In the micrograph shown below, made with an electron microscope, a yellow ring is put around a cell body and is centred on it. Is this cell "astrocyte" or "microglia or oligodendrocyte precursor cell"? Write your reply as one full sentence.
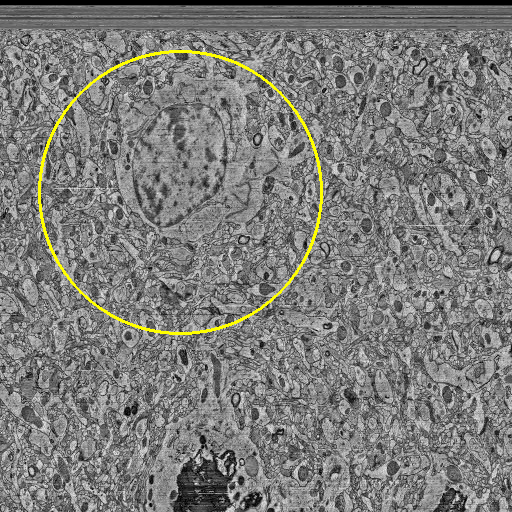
In the micrograph, an astrocyte is the cell at the centre of the yellow ring.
